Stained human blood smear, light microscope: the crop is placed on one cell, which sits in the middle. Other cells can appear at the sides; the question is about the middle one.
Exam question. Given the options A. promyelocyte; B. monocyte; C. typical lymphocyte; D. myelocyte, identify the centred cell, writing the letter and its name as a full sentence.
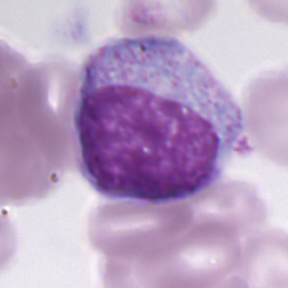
With the cell in the middle being a promyelocyte, option A is the correct choice.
